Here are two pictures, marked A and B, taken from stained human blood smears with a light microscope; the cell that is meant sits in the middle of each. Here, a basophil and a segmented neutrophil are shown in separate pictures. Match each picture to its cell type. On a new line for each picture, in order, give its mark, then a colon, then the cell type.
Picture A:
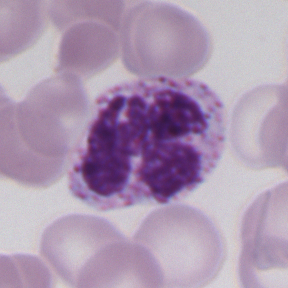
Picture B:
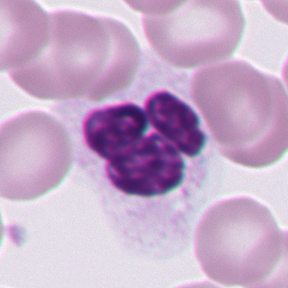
A: basophil
B: segmented neutrophil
